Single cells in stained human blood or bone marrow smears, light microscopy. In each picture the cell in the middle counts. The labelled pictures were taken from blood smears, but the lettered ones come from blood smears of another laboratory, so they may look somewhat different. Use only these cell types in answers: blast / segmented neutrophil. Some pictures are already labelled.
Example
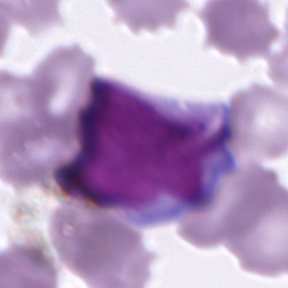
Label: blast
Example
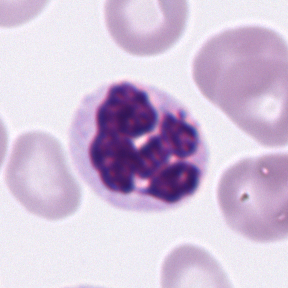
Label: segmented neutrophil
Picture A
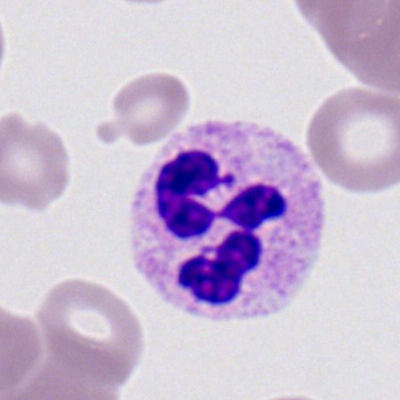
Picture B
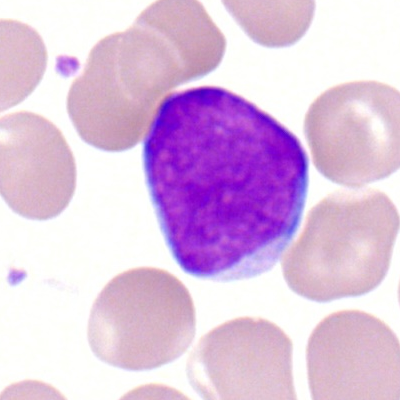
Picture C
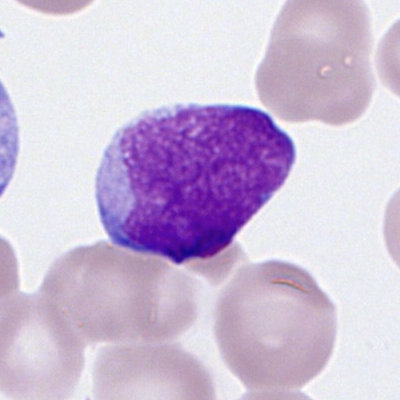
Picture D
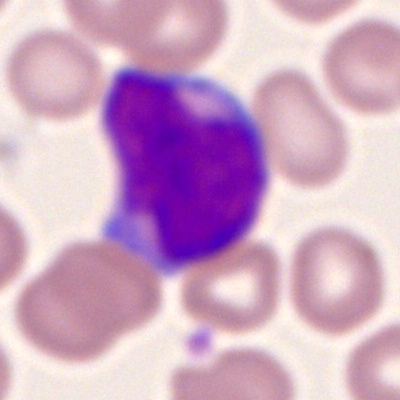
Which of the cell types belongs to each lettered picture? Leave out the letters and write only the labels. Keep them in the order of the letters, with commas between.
segmented neutrophil, blast, blast, blast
